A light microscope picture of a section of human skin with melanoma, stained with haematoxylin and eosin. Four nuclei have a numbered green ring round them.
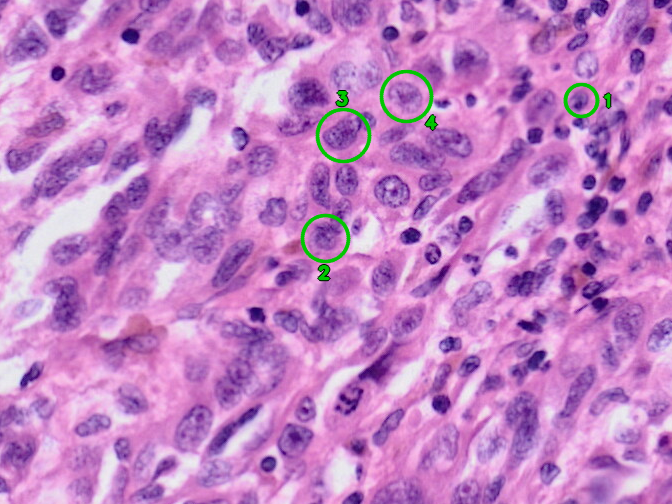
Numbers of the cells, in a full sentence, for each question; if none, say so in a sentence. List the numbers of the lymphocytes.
Being a lymphocyte is true of cell 1 and of no other numbered cell.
